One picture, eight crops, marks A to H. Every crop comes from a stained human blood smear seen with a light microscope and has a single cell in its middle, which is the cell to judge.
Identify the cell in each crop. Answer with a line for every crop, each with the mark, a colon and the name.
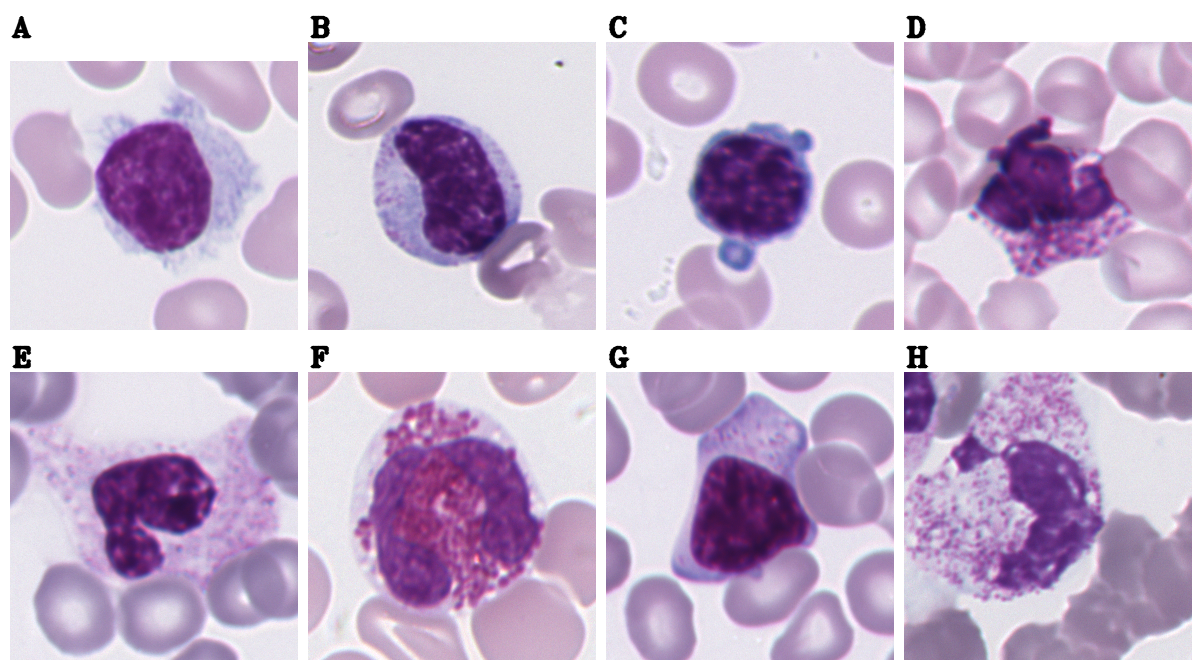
A: hairy cell
B: metamyelocyte
C: normoblast
D: basophil
E: segmented neutrophil
F: eosinophil
G: large granular lymphocyte
H: segmented neutrophil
